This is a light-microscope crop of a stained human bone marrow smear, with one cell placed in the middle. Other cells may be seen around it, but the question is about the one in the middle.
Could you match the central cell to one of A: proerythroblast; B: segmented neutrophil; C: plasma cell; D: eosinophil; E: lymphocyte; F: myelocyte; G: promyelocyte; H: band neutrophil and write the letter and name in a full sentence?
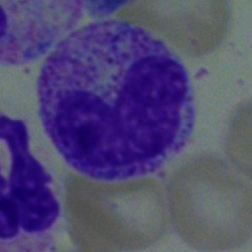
The central cell, a band neutrophil, is correctly identified by option H.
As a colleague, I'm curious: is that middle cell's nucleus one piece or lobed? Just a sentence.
If you check the nucleus, you will find one compact mass, round, oval or kidney-shaped.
